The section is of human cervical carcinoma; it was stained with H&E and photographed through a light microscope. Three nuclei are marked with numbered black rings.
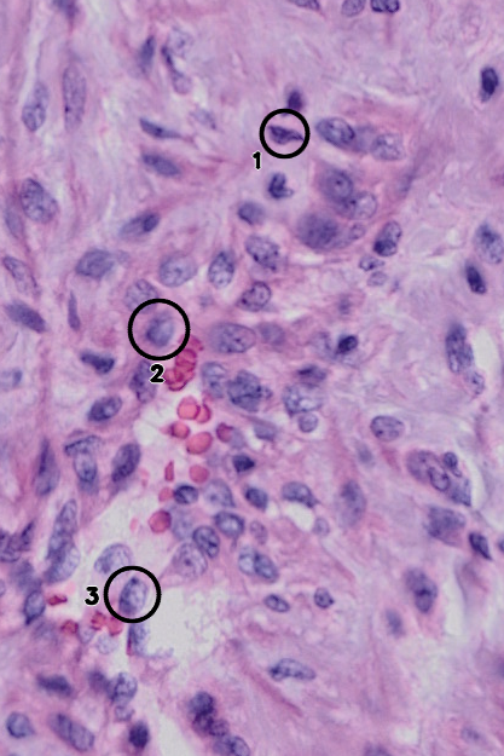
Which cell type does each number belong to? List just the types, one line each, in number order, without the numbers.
lymphocyte
endothelial cell
endothelial cell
